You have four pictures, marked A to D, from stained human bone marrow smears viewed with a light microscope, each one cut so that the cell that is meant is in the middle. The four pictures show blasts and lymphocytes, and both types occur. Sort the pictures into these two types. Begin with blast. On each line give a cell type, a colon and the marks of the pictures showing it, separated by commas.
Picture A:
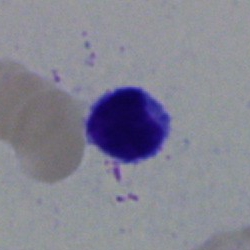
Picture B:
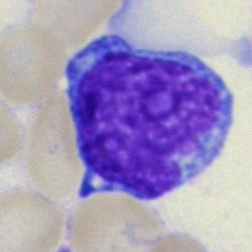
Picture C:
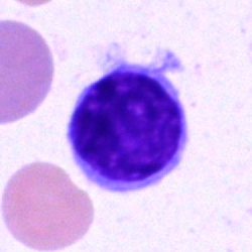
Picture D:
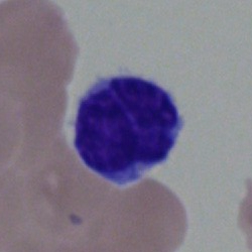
blast: B
lymphocyte: A, C, D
